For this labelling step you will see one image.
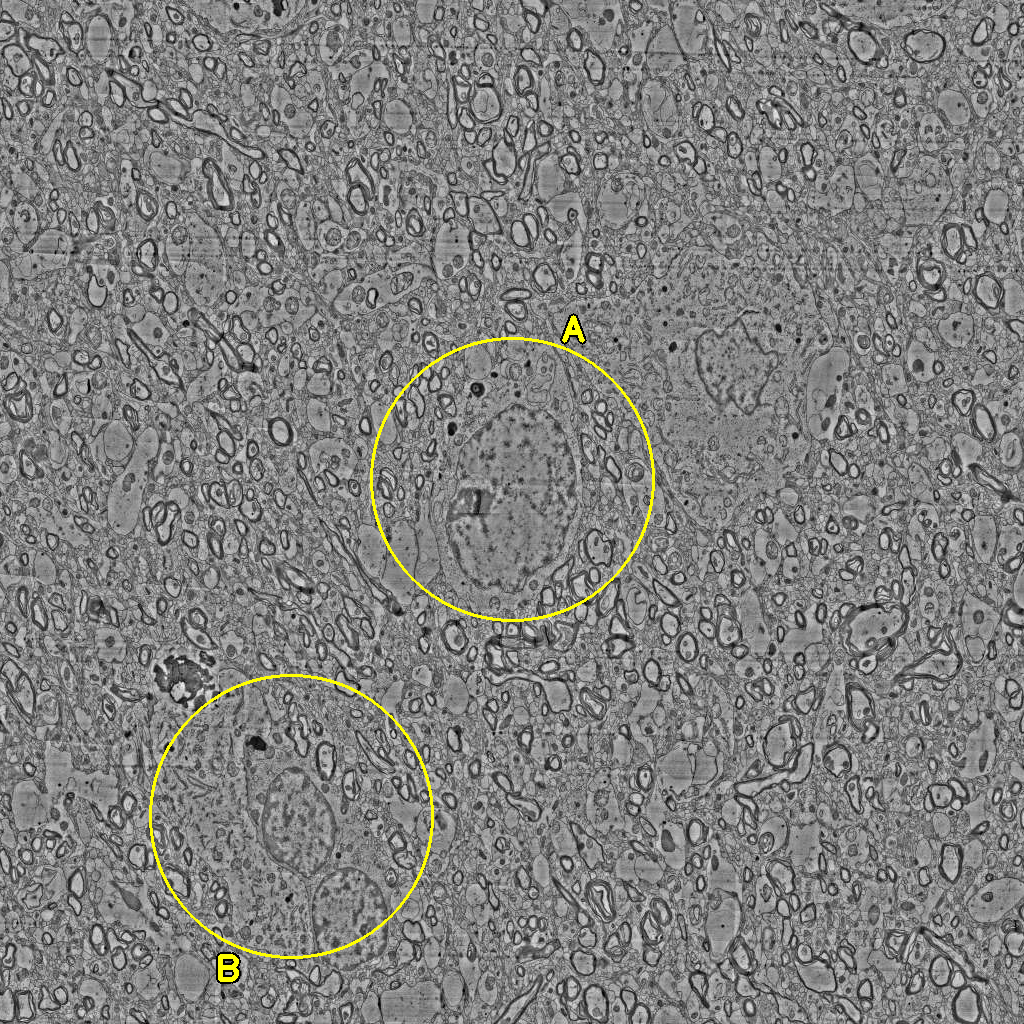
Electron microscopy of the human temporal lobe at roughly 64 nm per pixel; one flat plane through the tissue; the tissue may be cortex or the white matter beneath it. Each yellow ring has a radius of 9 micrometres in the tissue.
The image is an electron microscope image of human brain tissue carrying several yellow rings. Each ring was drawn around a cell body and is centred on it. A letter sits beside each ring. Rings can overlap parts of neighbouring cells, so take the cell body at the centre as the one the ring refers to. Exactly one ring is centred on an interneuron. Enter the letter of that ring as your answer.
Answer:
A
